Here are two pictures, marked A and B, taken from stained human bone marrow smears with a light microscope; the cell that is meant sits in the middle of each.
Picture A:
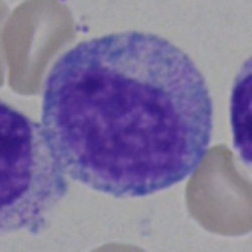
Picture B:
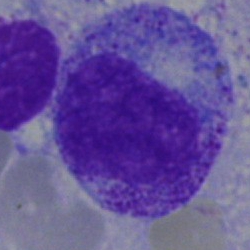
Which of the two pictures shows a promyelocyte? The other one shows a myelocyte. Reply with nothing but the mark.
B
